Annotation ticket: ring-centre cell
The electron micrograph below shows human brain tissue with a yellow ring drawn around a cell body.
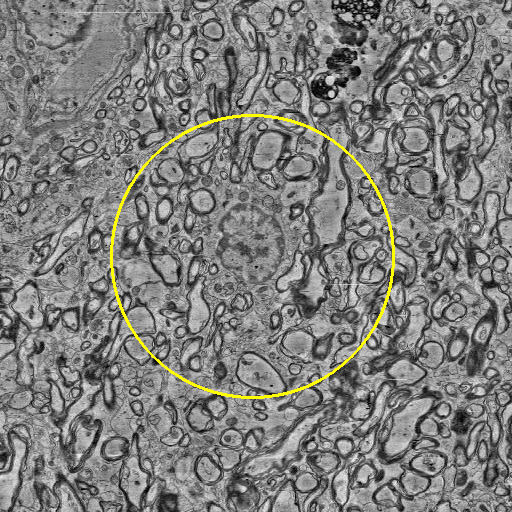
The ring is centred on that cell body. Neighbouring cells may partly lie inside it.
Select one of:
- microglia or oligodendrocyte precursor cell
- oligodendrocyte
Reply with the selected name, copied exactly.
oligodendrocyte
